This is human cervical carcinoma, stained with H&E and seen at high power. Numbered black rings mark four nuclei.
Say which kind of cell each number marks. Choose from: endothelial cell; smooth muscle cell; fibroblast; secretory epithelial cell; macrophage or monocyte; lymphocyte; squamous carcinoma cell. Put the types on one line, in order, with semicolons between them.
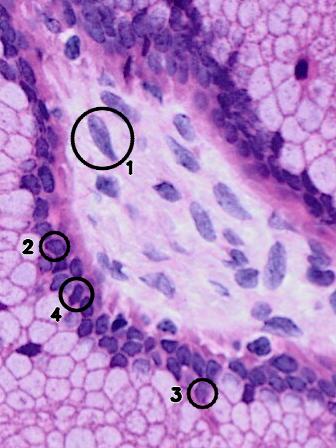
fibroblast; secretory epithelial cell; secretory epithelial cell; secretory epithelial cell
